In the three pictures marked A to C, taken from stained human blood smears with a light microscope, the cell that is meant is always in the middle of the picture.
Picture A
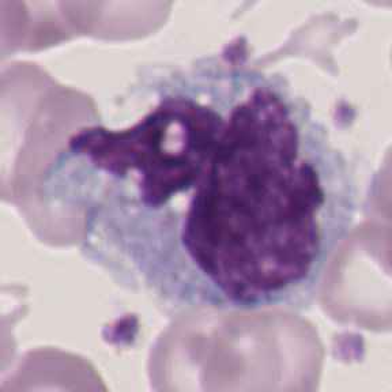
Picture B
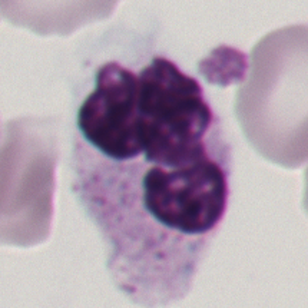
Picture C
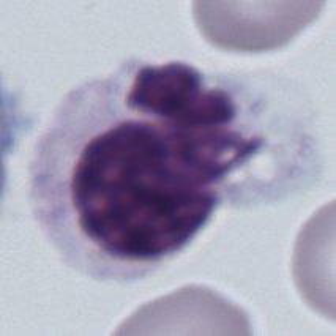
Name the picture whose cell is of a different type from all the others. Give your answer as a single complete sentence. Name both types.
The others show segmented neutrophils, but picture A shows a monocyte.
